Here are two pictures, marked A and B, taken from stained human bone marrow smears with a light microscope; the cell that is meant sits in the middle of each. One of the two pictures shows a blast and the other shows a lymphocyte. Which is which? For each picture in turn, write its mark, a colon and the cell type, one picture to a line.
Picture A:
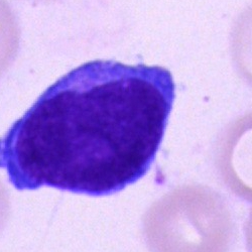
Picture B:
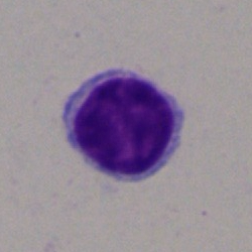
A: blast
B: lymphocyte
